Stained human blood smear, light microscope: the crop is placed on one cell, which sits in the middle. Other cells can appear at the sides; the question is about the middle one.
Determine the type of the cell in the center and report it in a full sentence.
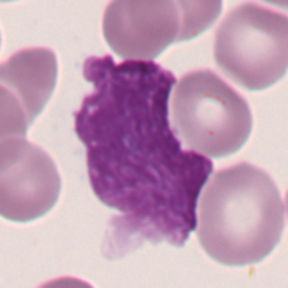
The target cell in the middle of the crop is a smudge cell.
